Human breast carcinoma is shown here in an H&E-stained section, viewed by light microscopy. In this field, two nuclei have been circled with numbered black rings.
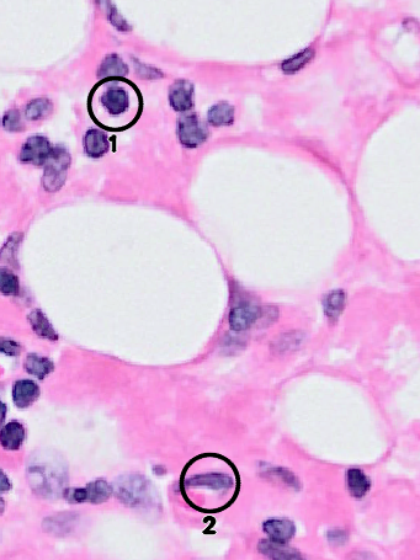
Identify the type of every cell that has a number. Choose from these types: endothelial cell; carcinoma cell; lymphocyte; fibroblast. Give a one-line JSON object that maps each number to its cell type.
{"1": "lymphocyte", "2": "endothelial cell"}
